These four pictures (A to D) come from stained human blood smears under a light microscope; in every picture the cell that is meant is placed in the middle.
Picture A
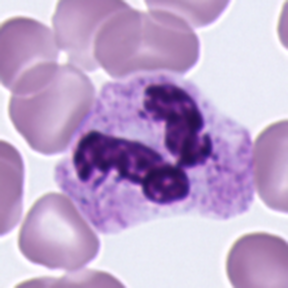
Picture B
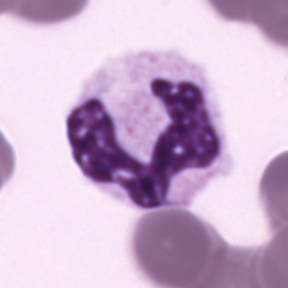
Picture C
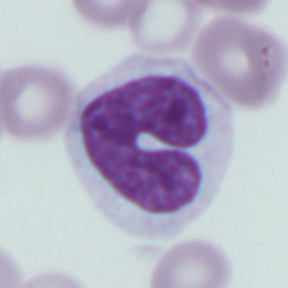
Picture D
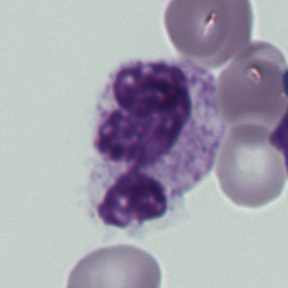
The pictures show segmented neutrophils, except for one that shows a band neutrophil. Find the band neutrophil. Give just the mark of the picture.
C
